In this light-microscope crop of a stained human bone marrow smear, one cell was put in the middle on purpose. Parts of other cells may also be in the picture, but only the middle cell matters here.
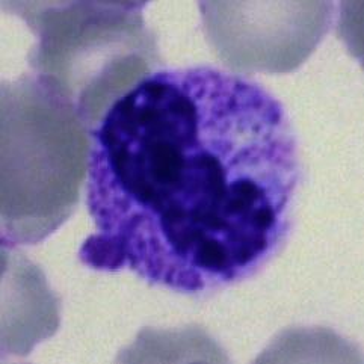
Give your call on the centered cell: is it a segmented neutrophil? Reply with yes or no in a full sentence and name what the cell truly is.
Yes, the cell at the middle is a segmented neutrophil.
